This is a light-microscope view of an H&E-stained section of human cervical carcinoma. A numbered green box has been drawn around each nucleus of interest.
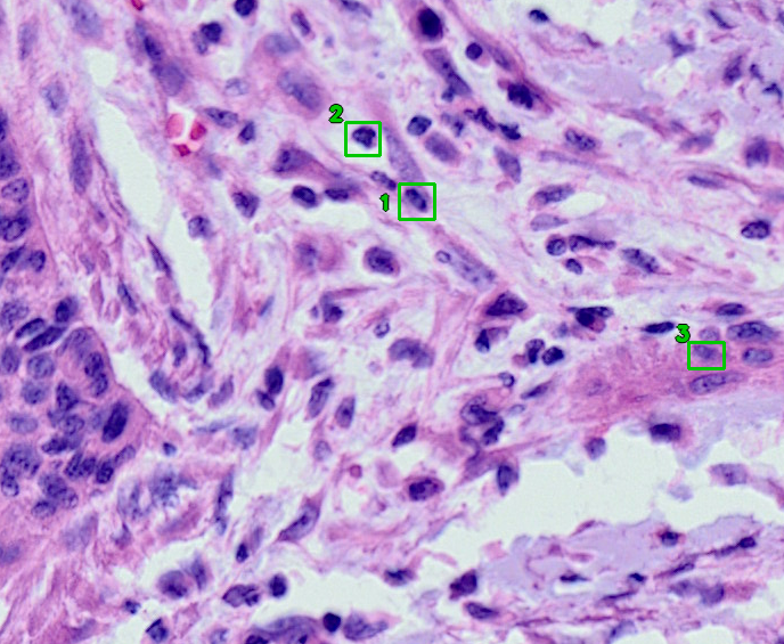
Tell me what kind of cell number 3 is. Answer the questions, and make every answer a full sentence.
The numbered cell 3 is identified here as a smooth muscle cell.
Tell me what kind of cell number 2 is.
In the marked set, the cell given number 2 is a lymphocyte.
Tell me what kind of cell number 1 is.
In the marked set, the cell given number 1 is a lymphocyte.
